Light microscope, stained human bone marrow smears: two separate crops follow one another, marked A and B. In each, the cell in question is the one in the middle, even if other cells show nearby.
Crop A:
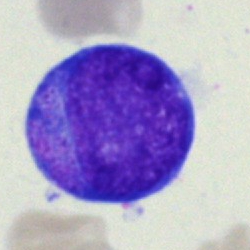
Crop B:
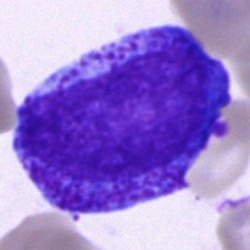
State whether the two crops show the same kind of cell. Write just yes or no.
no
